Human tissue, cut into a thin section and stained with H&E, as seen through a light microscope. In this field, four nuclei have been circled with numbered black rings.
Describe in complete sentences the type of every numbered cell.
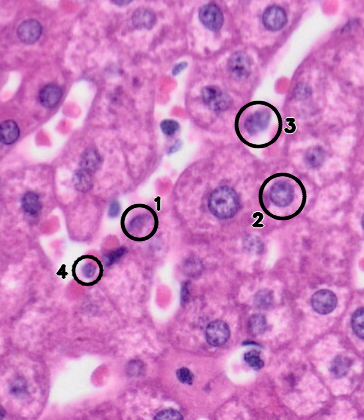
Cells 1 and 3 are Kupffer cells. Cell 2 is a hepatocyte. Cell 4 is a lymphocyte.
